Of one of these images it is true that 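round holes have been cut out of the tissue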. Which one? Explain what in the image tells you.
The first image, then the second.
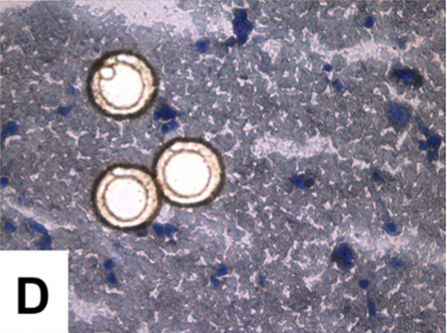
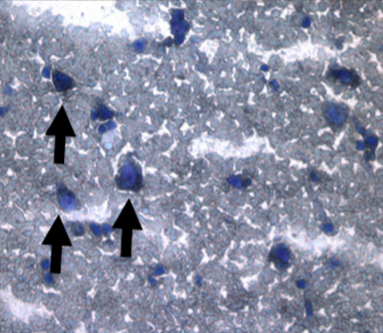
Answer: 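The first image. First image: three round, bright, dark-rimmed holes lie in the tissue.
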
